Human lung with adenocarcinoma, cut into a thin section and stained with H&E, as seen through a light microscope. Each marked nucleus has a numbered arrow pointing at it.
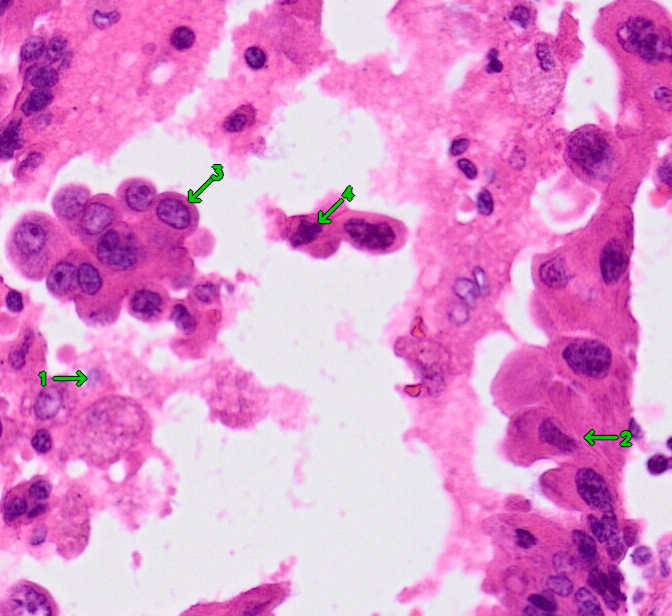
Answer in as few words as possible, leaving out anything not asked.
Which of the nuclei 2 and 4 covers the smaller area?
4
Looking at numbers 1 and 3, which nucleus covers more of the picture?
3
